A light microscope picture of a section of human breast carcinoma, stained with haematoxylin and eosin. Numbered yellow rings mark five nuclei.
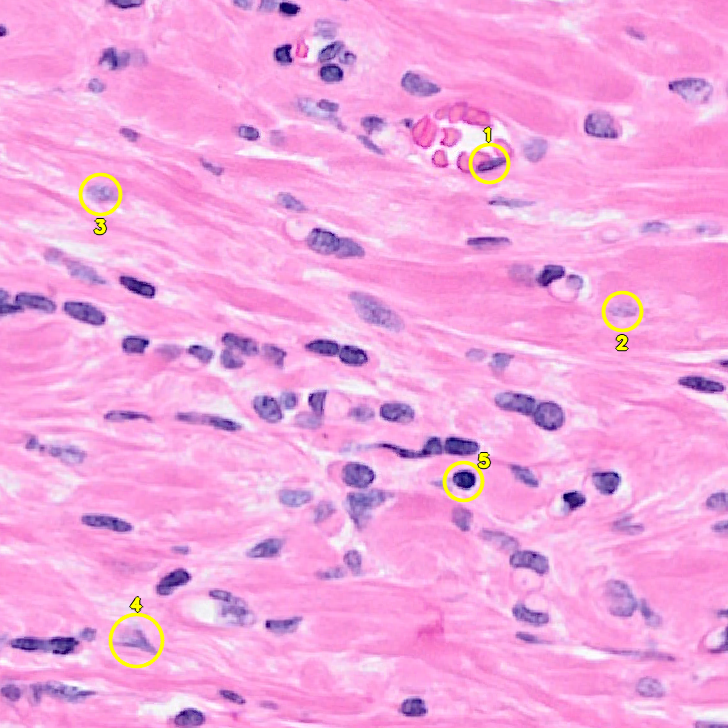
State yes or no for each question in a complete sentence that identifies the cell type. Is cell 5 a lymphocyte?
Yes, looking at number 5, that cell is a lymphocyte.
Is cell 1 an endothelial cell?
Yes, it is an endothelial cell that number 1 identifies.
